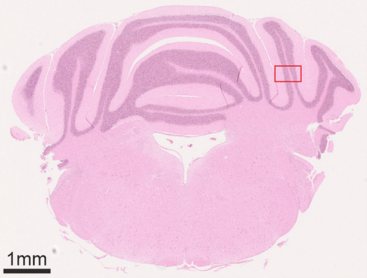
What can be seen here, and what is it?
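This is a coronal section through the cerebellum and the underlying brainstem. The cerebellar cortex is folded into many folia arranged symmetrically across the upper part of the section. Each folium has a dense, dark purple inner band, the granular layer, covered by a paler pink outer band, the molecular layer. Pale pink cores of white matter run into the centre of the folia. Below the cerebellum lies a large, evenly pale pink mass of brainstem, and a narrow cavity separates the two in the midline. A small red rectangle marks an area of cortex on one lateral folium.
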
